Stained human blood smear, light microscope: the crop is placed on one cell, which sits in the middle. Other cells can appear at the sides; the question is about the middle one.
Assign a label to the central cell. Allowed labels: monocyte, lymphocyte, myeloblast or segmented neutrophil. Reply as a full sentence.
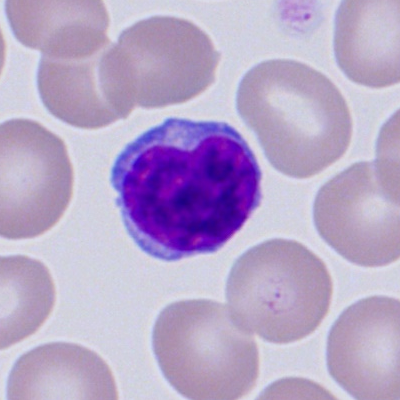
By classification, the middle cell of this crop is a lymphocyte.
